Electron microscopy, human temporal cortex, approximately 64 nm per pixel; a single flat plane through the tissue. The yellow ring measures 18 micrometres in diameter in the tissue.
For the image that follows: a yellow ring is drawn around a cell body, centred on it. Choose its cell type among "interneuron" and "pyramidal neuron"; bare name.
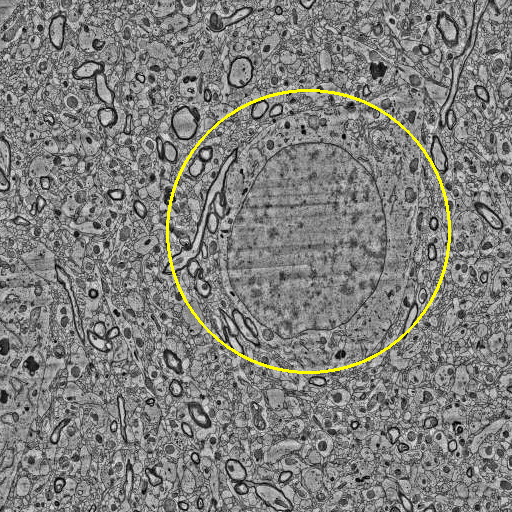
pyramidal neuron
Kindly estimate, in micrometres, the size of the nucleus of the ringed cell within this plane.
About 13 micrometres by about 10 micrometres in this plane.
